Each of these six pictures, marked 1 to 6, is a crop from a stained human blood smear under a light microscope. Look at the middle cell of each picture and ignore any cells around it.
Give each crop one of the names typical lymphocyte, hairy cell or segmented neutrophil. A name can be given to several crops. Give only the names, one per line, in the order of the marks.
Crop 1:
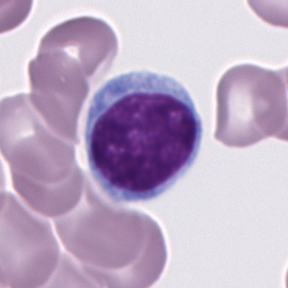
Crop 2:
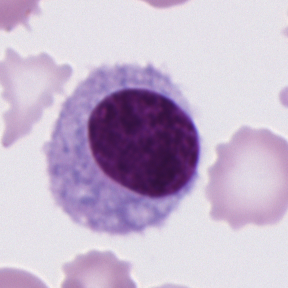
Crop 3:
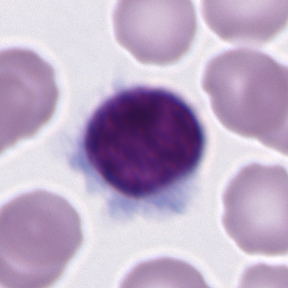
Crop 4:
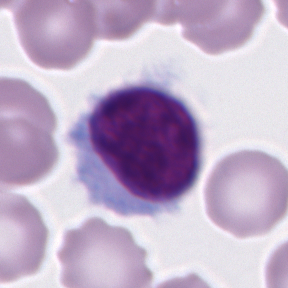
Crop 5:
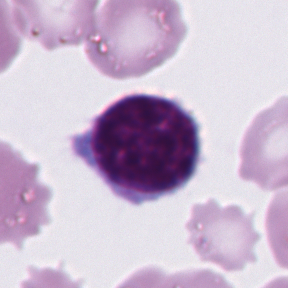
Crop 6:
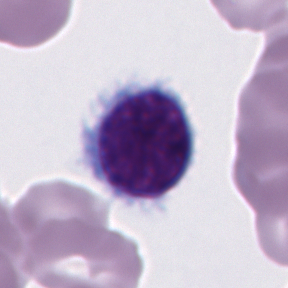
typical lymphocyte
hairy cell
hairy cell
hairy cell
typical lymphocyte
hairy cell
